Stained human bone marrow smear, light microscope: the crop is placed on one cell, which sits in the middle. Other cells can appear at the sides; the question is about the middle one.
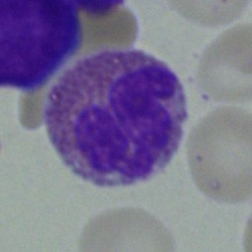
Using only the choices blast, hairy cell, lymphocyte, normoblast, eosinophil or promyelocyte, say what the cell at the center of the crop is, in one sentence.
The cell in the exact centre of the crop is an eosinophil.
